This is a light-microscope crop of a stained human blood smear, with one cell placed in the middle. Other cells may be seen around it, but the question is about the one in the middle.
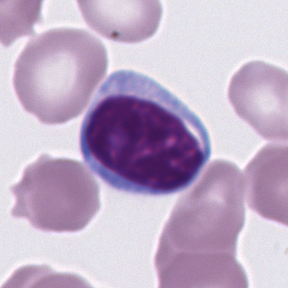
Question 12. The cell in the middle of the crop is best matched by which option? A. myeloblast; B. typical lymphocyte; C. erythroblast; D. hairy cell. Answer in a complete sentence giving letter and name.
Option B is correct, and the cell in the centre is a typical lymphocyte.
